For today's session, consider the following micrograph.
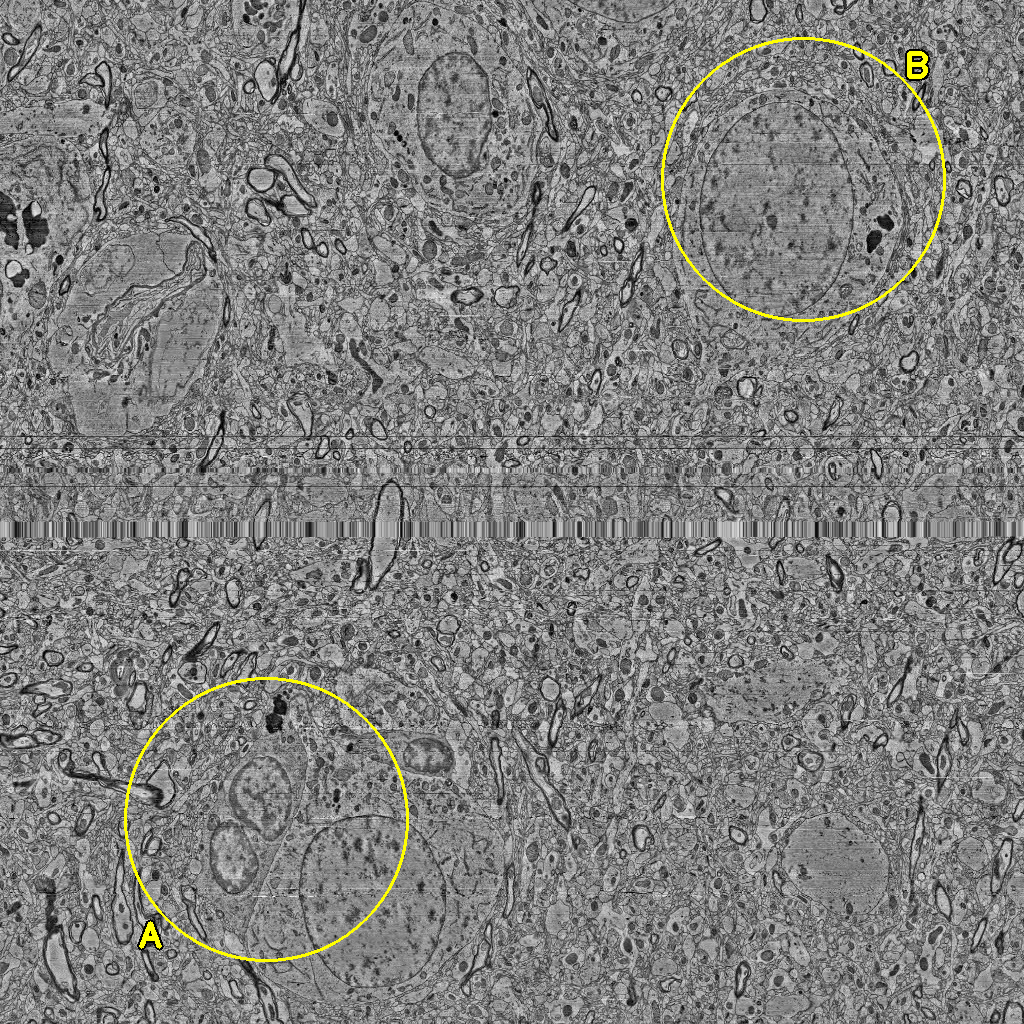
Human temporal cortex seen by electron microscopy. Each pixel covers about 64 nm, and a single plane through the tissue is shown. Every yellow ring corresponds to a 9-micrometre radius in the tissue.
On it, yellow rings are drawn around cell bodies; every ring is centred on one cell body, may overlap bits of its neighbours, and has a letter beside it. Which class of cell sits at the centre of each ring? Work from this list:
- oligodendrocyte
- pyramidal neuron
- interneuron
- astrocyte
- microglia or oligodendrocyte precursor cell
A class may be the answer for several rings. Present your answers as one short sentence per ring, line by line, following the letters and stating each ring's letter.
Ring A centres on an oligodendrocyte.
Ring B centres on a pyramidal neuron.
